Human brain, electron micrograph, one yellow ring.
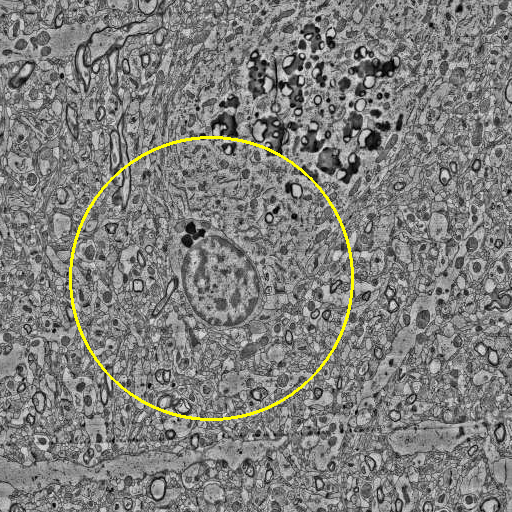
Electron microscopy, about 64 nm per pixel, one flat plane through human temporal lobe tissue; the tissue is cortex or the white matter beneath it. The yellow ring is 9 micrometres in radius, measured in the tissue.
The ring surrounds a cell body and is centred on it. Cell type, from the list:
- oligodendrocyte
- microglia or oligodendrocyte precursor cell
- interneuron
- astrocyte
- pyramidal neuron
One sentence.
The yellow ring circles an oligodendrocyte.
